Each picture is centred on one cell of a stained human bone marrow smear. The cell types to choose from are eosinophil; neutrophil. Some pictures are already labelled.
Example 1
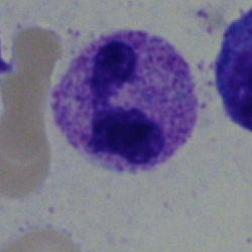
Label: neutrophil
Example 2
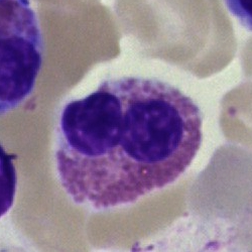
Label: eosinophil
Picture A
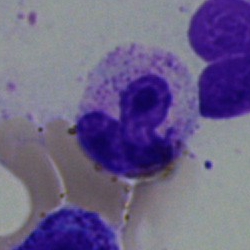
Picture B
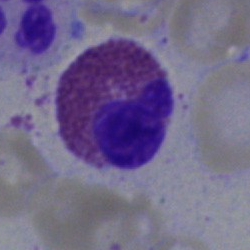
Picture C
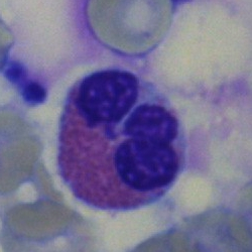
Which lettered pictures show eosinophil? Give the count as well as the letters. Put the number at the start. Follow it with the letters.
2: B, C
